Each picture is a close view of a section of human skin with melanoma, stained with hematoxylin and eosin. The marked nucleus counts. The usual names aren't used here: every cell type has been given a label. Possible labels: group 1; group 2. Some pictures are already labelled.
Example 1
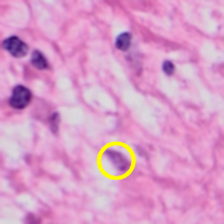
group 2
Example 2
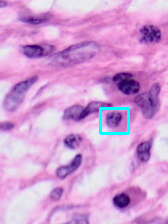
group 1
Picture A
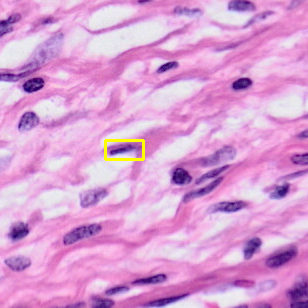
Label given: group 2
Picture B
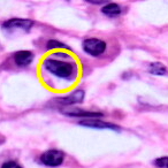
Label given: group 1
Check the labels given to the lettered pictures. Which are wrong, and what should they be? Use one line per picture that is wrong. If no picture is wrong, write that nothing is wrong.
Every label is right.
